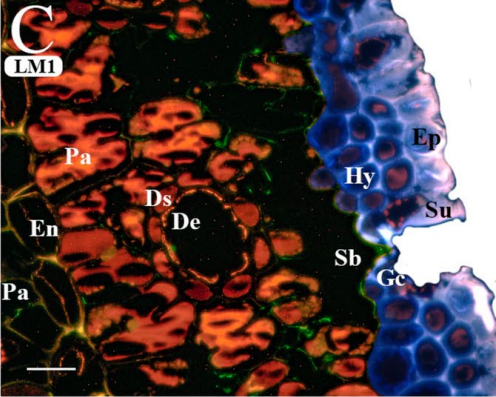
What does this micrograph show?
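The outer part of a needle in cross-section shows, at right, an epidermis and beneath it a hypodermis of small, rounded cells with very thick, blue-fluorescing walls, interrupted by a stoma whose opening leads into a dark substomatal chamber. At the far left a row of endodermal cells with yellowish walls borders the mesophyll.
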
